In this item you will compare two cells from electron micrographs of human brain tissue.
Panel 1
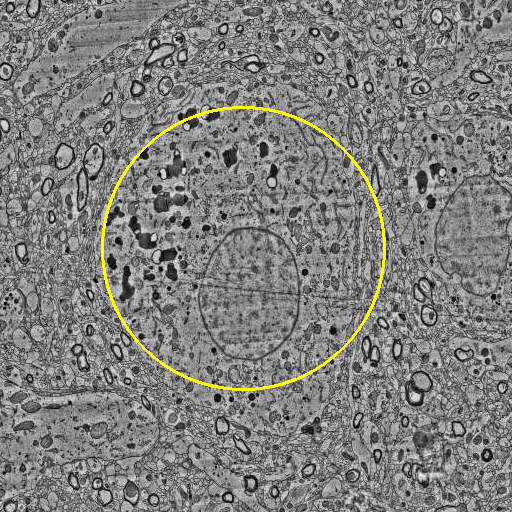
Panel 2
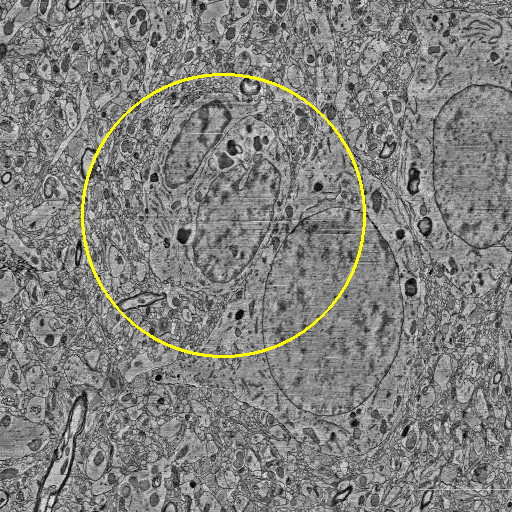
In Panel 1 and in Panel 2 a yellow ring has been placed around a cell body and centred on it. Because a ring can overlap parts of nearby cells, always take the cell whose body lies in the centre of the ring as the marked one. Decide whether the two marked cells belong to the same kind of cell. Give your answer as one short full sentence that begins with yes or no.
No, the two marked cells belong to two kinds of cell.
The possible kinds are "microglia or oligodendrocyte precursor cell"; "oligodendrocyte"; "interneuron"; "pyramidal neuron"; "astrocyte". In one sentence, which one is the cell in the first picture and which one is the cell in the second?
The cell ringed in the second picture is an interneuron, whereas the one ringed in the first is a pyramidal neuron.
